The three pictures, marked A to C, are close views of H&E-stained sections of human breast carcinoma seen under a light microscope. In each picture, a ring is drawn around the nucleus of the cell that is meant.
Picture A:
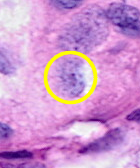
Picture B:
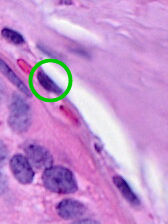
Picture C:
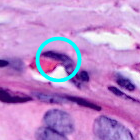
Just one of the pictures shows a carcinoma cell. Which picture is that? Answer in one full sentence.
Picture A is the one that shows the carcinoma cell.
